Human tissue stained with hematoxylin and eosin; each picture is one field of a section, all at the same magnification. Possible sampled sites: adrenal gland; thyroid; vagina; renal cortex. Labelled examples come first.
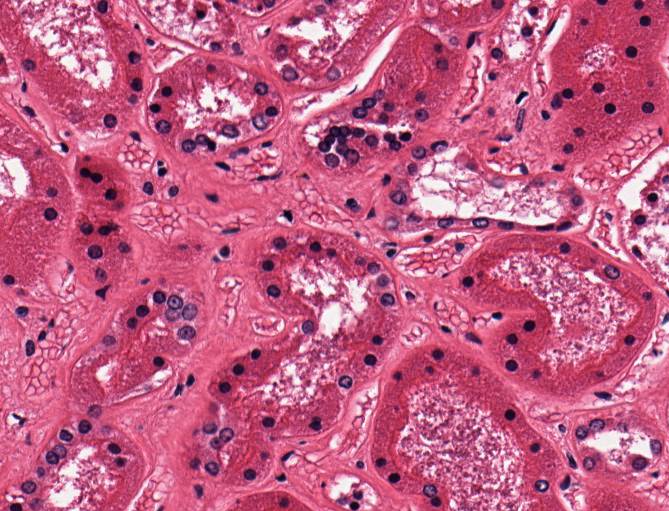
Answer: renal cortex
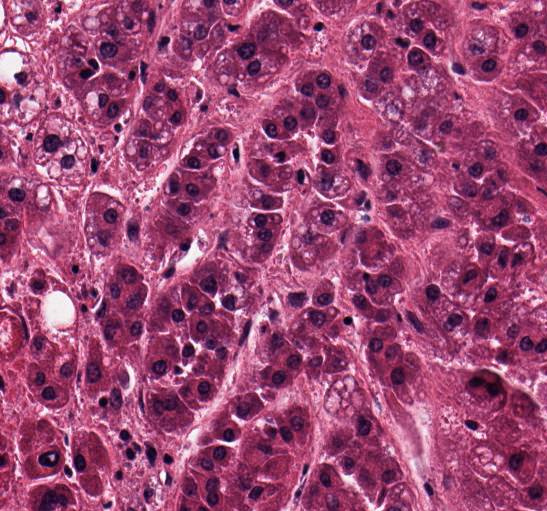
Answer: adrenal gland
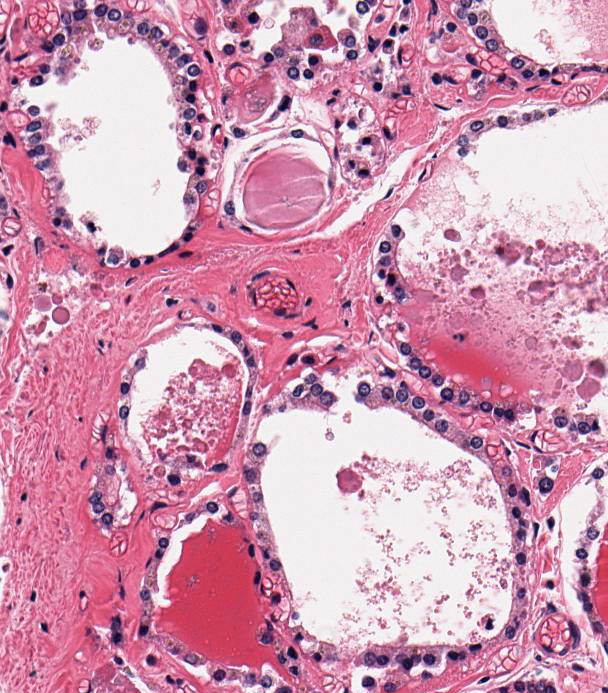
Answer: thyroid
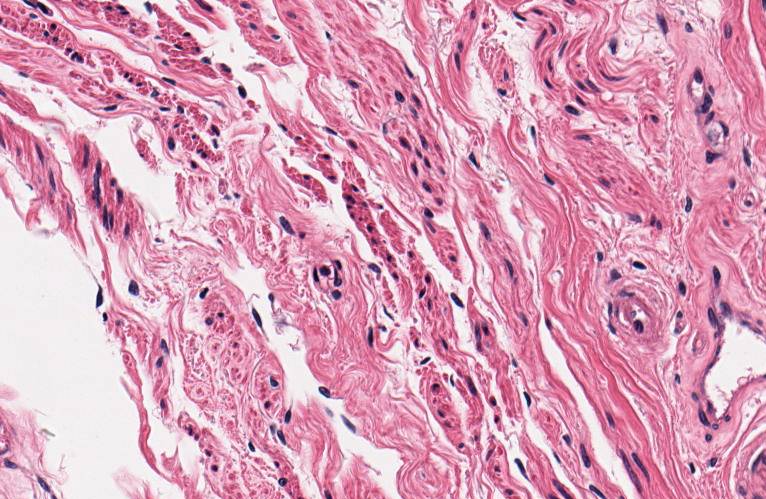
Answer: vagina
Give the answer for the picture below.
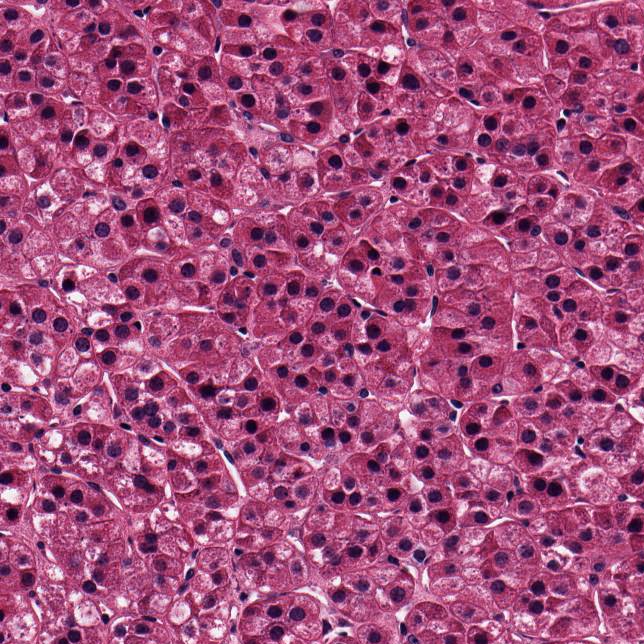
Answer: adrenal gland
